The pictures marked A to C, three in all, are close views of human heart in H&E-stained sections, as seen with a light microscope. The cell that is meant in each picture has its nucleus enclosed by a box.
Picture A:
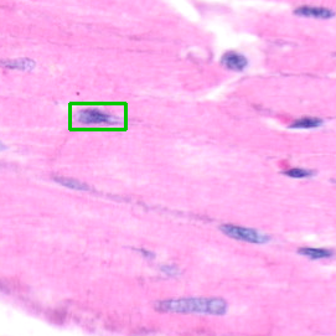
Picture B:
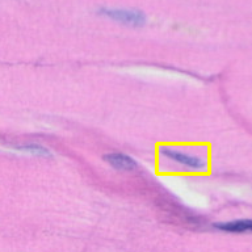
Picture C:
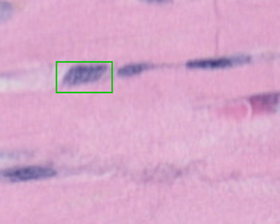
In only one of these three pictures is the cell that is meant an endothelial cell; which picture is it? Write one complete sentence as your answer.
The cell in picture A is the endothelial cell.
